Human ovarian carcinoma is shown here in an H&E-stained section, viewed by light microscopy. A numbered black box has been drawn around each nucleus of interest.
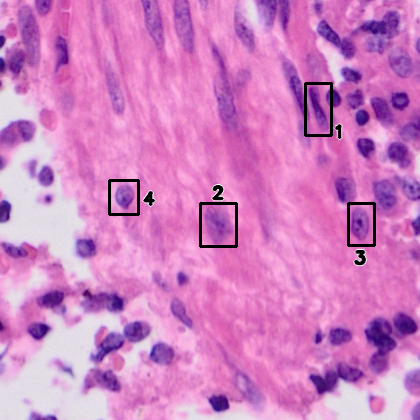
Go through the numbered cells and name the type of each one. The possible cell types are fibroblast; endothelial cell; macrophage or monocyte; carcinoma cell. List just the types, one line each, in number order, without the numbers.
endothelial cell
fibroblast
macrophage or monocyte
macrophage or monocyte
